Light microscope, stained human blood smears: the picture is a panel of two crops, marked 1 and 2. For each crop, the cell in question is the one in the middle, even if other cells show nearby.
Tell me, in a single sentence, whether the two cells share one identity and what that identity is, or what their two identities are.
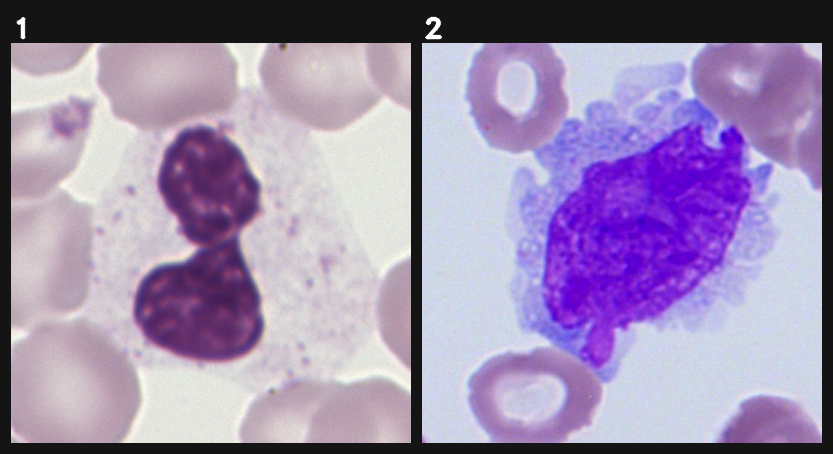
No, crop 1 shows a segmented neutrophil, and it is crop 2 that shows a monocyte.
